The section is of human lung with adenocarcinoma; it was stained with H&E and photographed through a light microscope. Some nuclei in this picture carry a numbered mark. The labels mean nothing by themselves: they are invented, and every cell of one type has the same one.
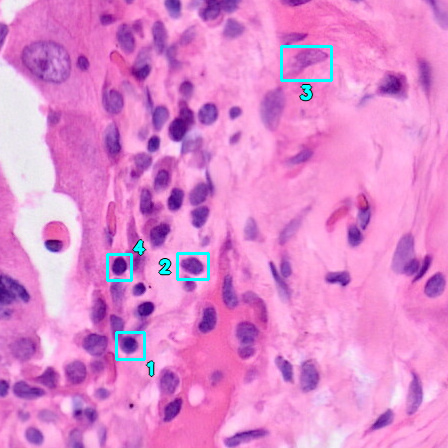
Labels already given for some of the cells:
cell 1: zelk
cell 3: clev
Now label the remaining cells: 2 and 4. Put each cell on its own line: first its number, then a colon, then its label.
2: zelk
4: zelk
